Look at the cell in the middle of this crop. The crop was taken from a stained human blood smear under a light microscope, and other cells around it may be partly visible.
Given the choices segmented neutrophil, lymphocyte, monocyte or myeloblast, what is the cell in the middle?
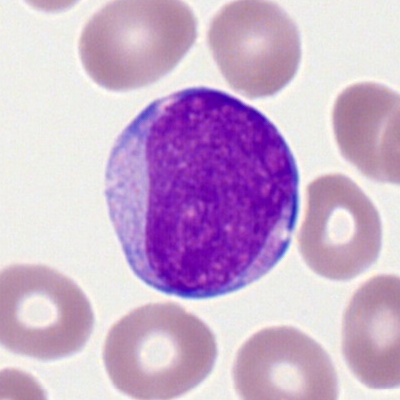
myeloblast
